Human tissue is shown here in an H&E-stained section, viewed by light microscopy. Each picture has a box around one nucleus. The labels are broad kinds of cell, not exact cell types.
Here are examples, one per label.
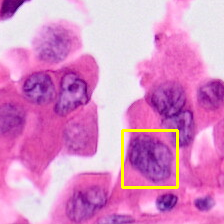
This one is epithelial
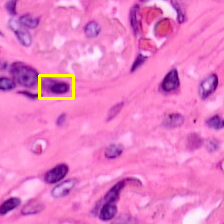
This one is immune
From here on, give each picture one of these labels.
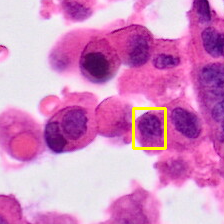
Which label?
epithelial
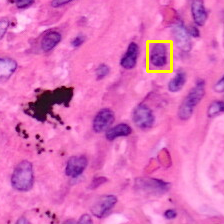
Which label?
immune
